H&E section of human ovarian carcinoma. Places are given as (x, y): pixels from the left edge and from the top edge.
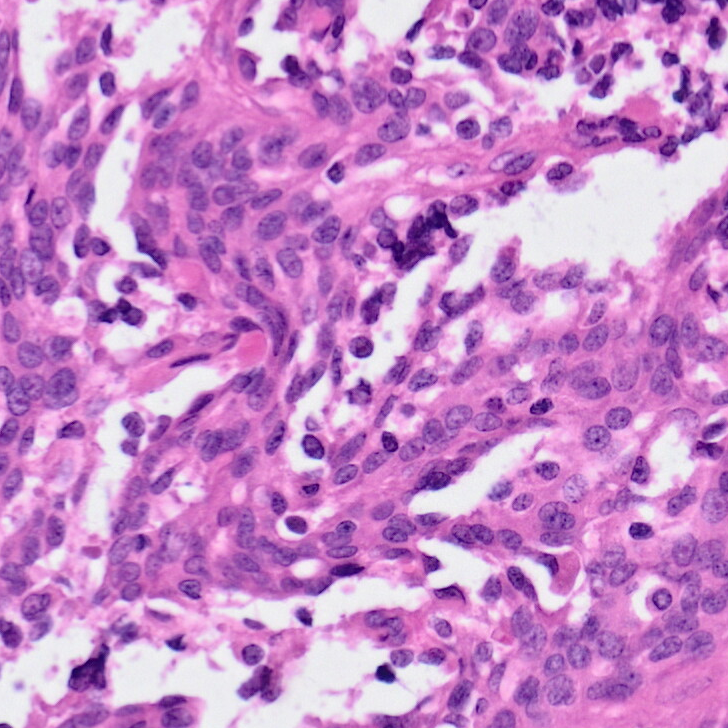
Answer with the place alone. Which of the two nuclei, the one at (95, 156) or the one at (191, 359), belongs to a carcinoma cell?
(95, 156)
